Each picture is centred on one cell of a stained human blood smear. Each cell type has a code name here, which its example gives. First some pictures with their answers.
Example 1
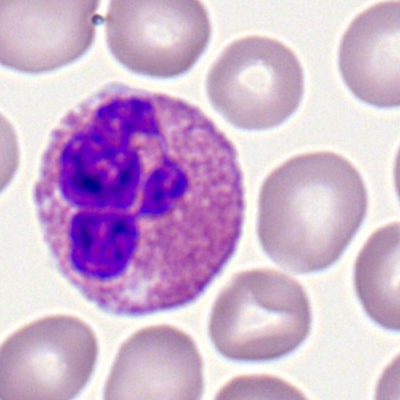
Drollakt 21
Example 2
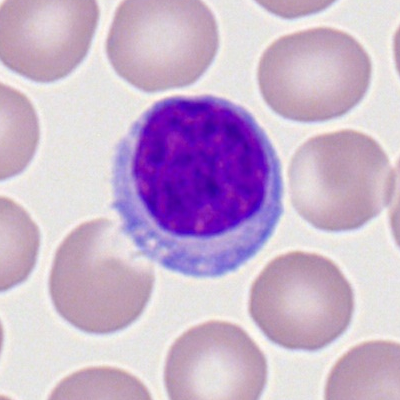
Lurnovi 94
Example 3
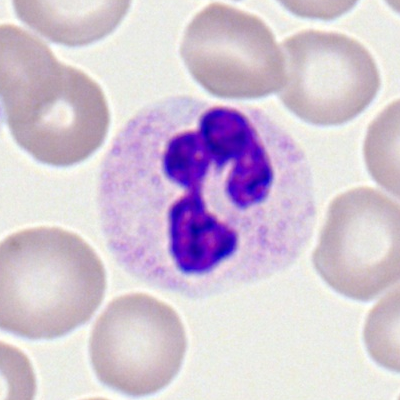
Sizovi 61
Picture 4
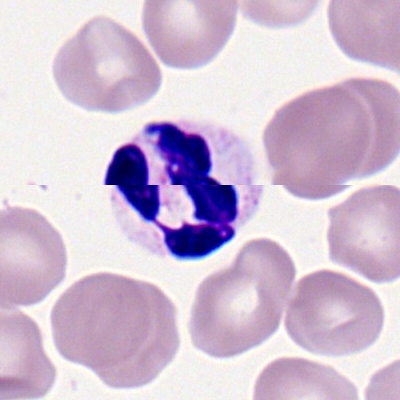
Sizovi 61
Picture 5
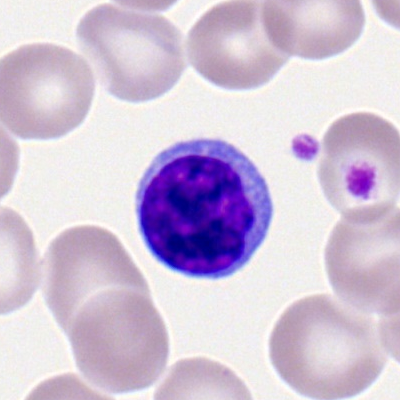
Lurnovi 94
